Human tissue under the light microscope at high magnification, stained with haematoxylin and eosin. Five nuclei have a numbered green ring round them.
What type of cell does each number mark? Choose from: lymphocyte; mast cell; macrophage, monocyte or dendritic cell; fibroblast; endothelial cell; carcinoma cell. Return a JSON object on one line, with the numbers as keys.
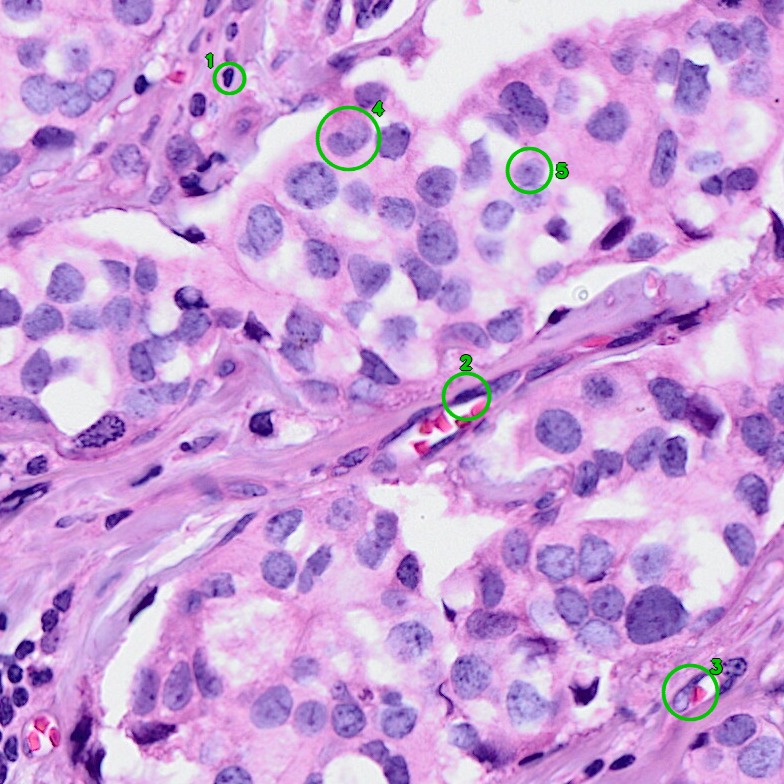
{"1": "lymphocyte", "2": "endothelial cell", "3": "endothelial cell", "4": "carcinoma cell", "5": "carcinoma cell"}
